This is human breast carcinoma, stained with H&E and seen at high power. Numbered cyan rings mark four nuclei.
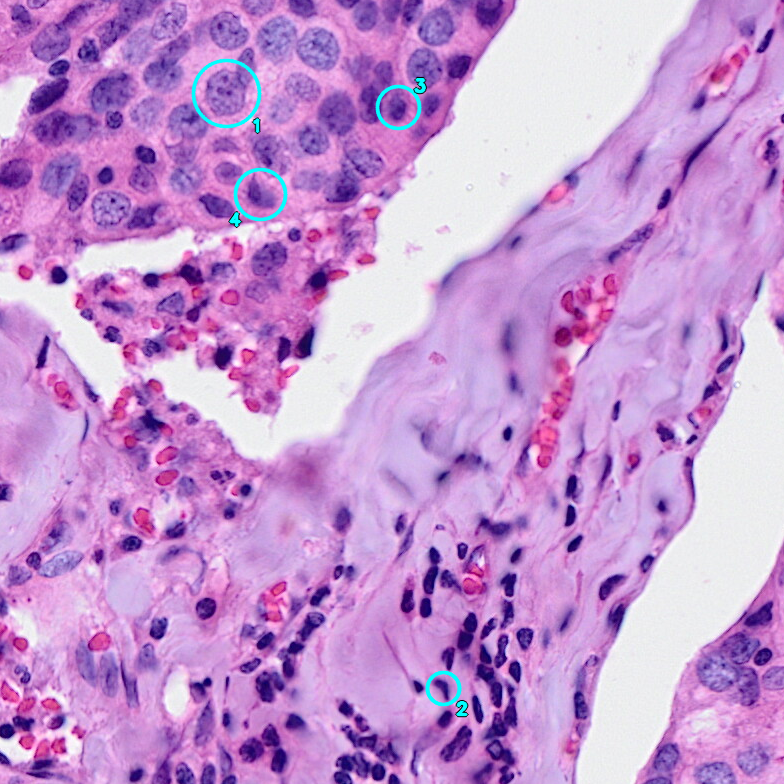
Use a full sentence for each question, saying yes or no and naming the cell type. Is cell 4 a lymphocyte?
No, it is a carcinoma cell that is marked with number 4, not a lymphocyte.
